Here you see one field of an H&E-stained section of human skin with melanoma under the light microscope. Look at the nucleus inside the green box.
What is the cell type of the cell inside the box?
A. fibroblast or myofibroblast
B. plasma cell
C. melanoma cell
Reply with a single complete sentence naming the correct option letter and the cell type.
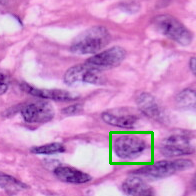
The correct option is C, as the cell inside the box is a melanoma cell.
